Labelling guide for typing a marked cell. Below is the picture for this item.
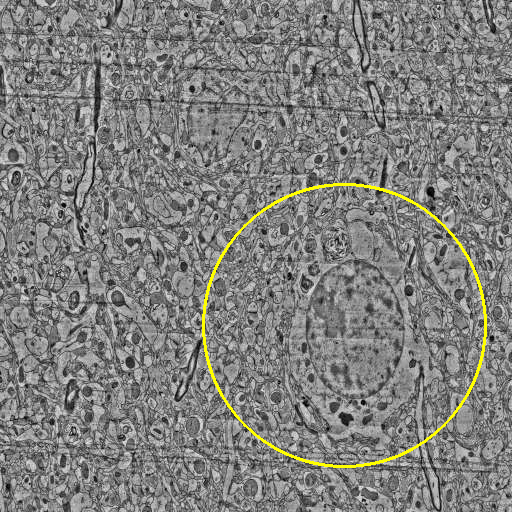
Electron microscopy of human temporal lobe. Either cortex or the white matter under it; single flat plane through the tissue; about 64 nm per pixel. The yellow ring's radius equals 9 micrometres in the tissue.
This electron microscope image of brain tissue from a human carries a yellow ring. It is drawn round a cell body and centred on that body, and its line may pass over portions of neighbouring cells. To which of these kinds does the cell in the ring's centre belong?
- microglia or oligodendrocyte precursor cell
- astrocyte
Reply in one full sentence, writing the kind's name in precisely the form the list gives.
Here we have an astrocyte at the centre of the yellow ring in the picture.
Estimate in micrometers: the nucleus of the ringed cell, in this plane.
The nucleus of the ringed cell is approximately 9 by 7 micrometres in this plane.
